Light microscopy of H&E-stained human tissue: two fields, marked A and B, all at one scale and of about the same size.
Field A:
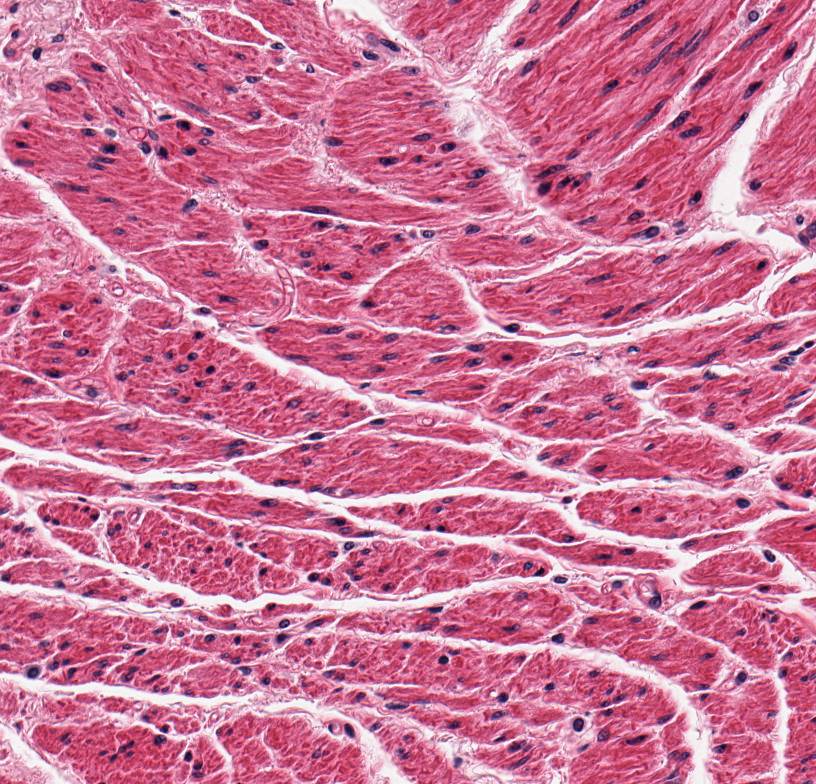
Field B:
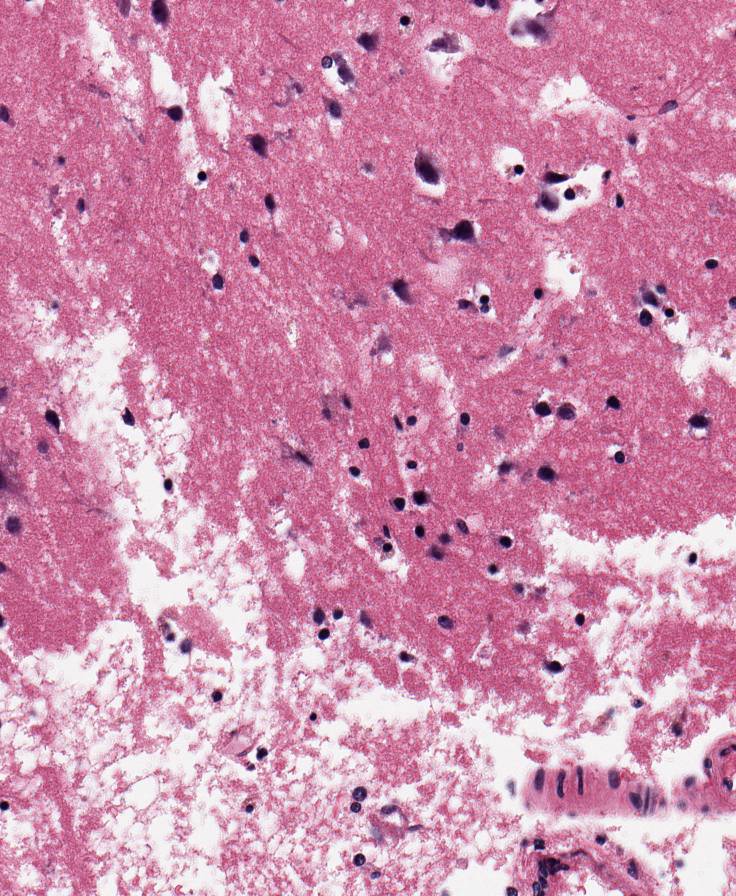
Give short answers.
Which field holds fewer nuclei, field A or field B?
B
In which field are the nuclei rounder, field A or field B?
B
